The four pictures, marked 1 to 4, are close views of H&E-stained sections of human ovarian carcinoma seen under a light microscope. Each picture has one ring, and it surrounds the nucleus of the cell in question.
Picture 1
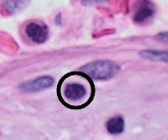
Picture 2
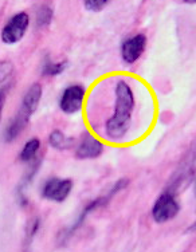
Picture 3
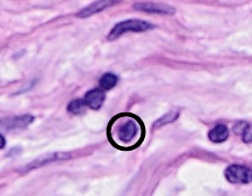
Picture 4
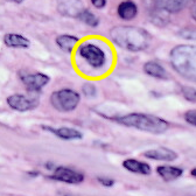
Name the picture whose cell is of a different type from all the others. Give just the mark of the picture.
2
